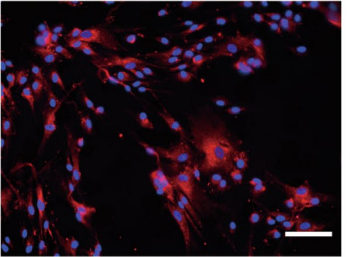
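The cells vary in shape: some are spindle-shaped and drawn out into long slender processes, others are broader and more star-shaped. Toward the middle of the field a few cells are large and flattened, with a wide sheet of pale red cytoplasm. The cells lie scattered and loosely touching rather than packed into a sheet, with dark background between them.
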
